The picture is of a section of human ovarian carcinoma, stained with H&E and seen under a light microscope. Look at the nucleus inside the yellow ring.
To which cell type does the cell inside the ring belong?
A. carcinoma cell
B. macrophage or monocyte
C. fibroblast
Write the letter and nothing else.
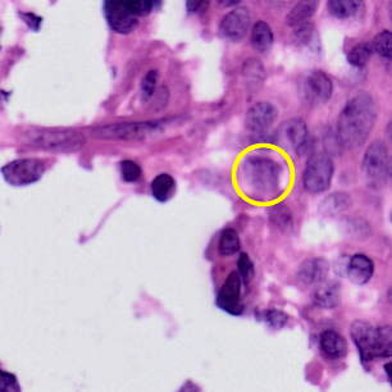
A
